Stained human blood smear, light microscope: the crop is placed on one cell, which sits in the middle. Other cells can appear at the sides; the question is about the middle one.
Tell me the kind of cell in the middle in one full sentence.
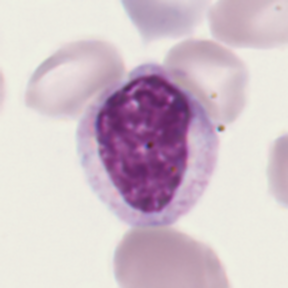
The centrally placed cell is classified as a metamyelocyte.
